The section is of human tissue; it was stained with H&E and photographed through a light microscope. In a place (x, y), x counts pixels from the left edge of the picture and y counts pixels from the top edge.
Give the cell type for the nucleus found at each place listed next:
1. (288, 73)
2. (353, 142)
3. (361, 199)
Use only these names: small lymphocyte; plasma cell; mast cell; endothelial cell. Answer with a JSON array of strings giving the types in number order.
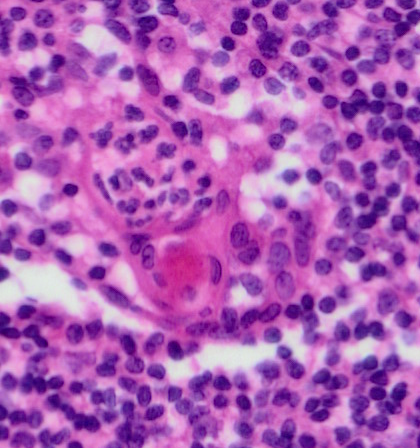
["plasma cell", "plasma cell", "small lymphocyte"]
